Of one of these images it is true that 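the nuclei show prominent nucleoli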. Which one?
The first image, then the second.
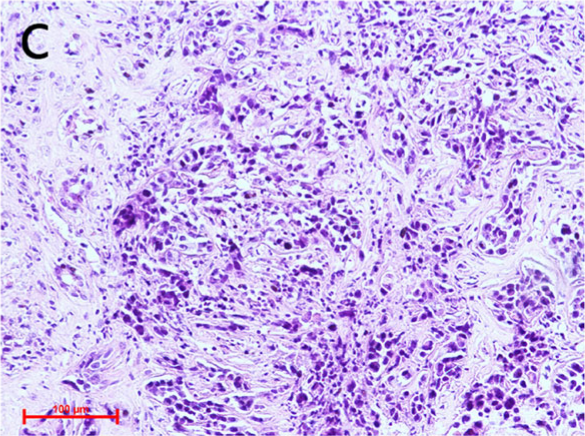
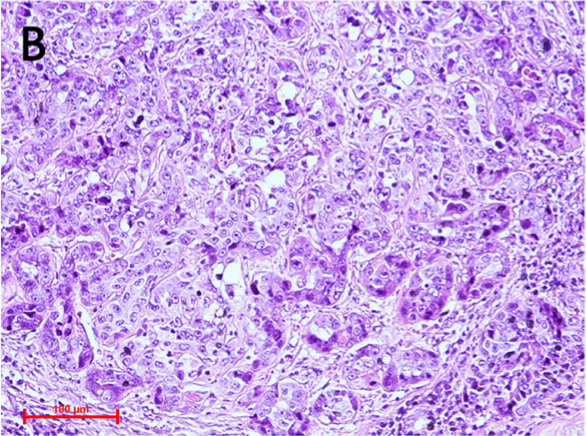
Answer: the second image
